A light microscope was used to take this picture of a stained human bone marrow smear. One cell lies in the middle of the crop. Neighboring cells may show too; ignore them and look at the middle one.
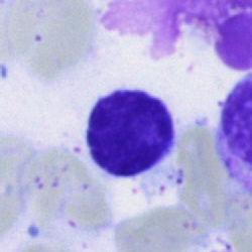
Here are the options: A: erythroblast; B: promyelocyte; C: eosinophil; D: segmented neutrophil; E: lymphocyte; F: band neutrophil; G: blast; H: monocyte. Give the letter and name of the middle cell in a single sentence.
Here the right option is E, as the cell in the middle is a lymphocyte.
